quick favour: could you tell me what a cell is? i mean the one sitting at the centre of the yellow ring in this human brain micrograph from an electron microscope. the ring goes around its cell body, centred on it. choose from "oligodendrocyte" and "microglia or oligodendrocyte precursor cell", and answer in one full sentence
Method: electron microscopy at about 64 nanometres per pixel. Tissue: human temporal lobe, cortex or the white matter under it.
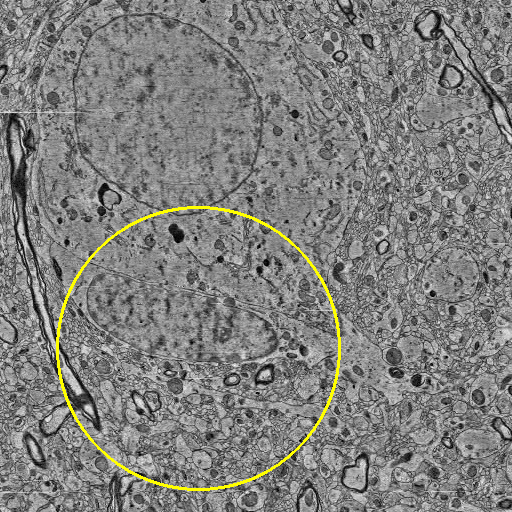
That's a microglial cell or oligodendrocyte precursor cell, the cell sitting at the centre of the yellow ring.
